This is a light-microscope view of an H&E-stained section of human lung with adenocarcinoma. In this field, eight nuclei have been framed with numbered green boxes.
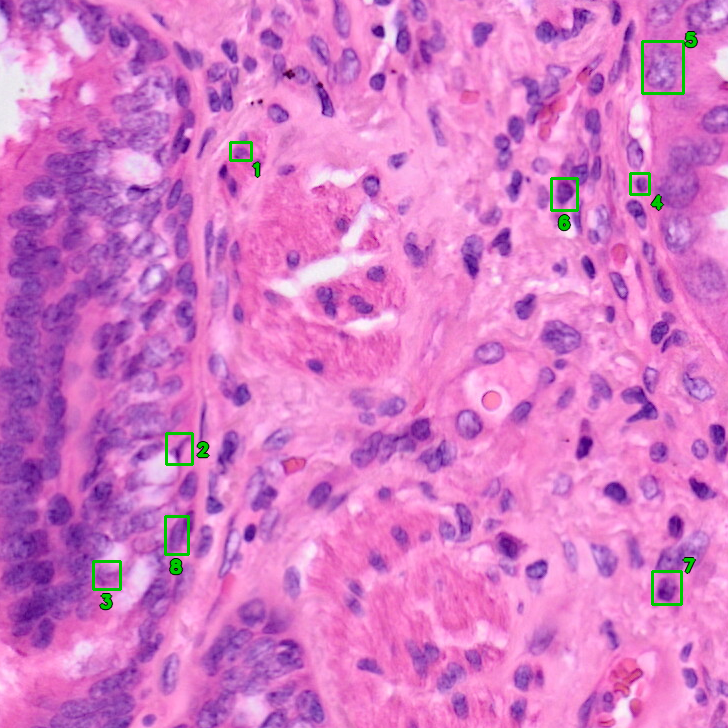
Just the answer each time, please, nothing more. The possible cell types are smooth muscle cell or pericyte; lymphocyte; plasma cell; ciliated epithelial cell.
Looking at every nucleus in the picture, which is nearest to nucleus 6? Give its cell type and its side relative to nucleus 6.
a lymphocyte; to the left of nucleus 6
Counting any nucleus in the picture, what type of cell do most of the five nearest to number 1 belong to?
smooth muscle cell or pericyte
